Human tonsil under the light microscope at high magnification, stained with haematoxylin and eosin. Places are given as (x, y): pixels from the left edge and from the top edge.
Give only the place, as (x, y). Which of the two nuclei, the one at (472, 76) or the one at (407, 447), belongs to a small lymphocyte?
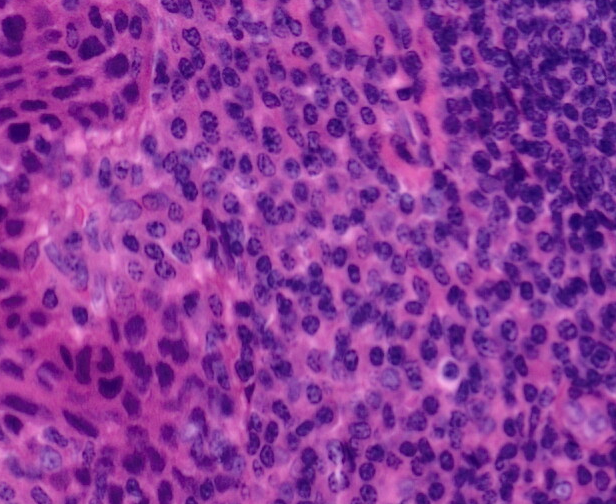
(472, 76)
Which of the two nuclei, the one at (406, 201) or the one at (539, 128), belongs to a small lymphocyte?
(539, 128)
